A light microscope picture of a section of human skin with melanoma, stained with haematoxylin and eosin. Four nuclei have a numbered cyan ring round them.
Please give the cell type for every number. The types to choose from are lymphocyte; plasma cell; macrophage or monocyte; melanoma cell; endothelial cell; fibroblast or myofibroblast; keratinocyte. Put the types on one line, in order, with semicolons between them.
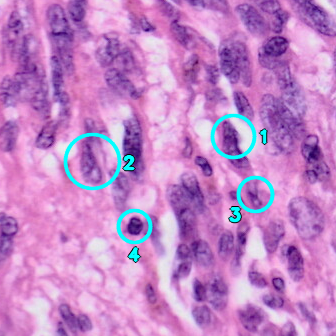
melanoma cell; melanoma cell; melanoma cell; lymphocyte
